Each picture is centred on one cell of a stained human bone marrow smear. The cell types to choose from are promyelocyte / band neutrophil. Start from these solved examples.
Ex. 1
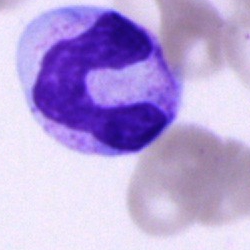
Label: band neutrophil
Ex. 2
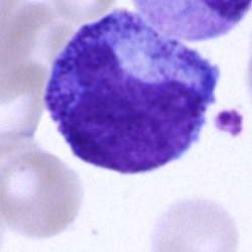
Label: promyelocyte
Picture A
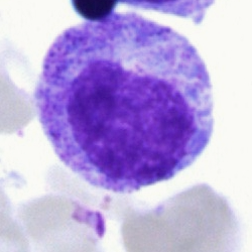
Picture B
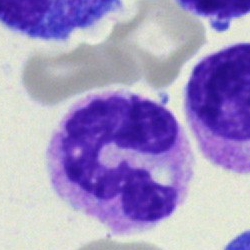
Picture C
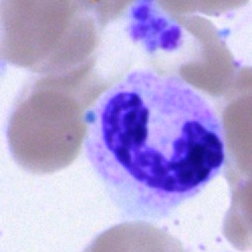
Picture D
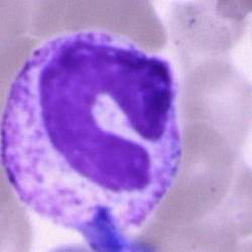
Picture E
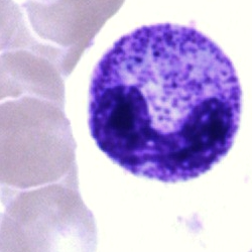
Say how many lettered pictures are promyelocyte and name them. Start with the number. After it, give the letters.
1, namely A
